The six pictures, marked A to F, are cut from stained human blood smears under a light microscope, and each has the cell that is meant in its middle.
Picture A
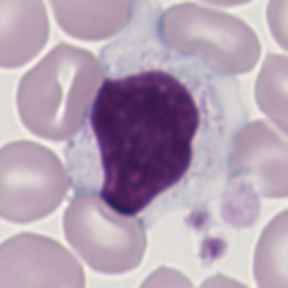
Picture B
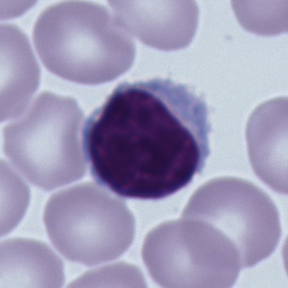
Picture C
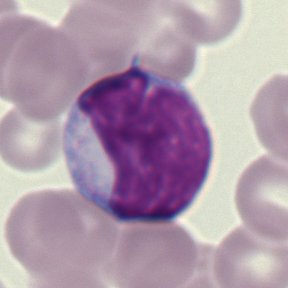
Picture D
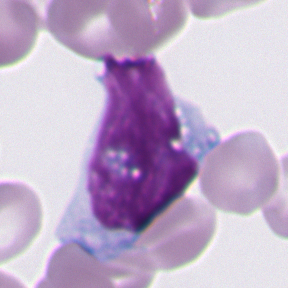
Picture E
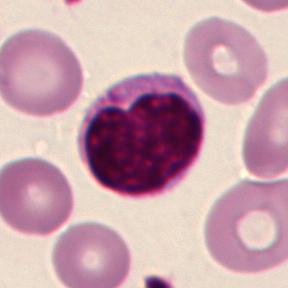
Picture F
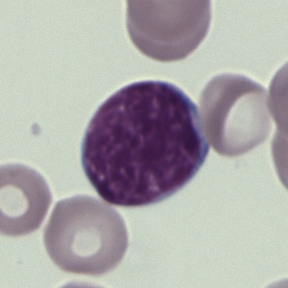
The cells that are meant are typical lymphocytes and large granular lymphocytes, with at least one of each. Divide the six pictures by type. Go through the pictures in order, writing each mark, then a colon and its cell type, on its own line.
A: large granular lymphocyte
B: typical lymphocyte
C: large granular lymphocyte
D: typical lymphocyte
E: large granular lymphocyte
F: typical lymphocyte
